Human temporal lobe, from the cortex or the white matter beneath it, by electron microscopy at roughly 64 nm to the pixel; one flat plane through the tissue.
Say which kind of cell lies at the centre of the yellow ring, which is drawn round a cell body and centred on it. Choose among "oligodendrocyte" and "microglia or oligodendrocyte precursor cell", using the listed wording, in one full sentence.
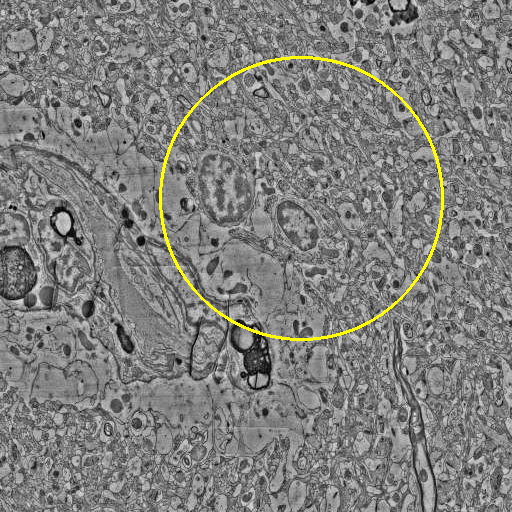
Going by the list, the cell at the yellow ring's centre is a microglial cell or oligodendrocyte precursor cell.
